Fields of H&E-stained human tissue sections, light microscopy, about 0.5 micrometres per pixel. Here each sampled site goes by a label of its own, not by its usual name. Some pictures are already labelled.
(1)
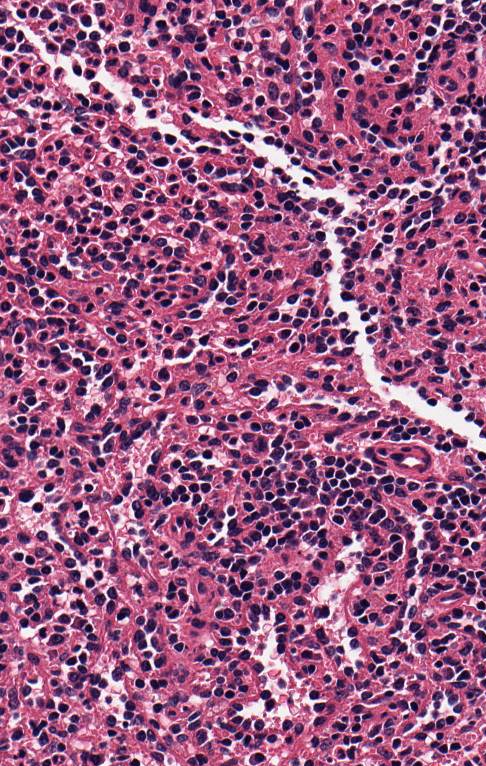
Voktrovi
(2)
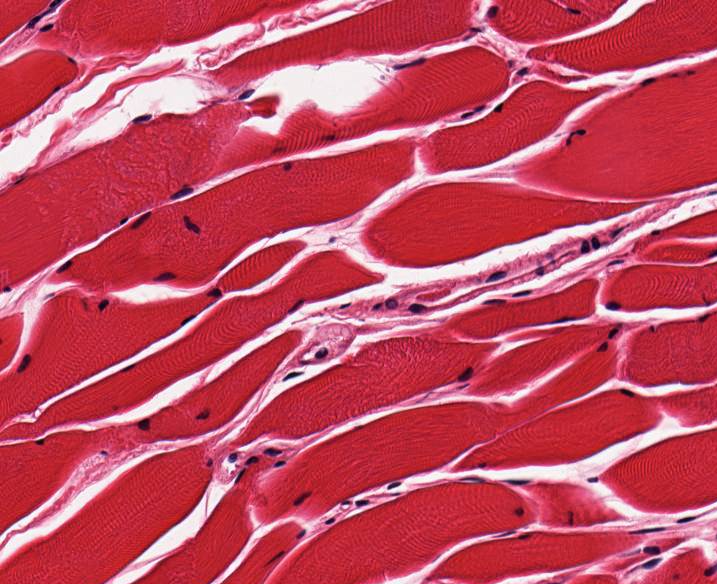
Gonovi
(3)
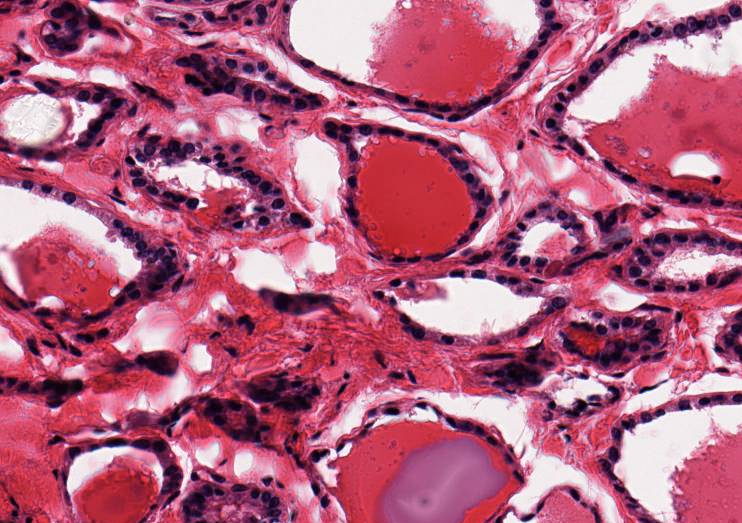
Gonovi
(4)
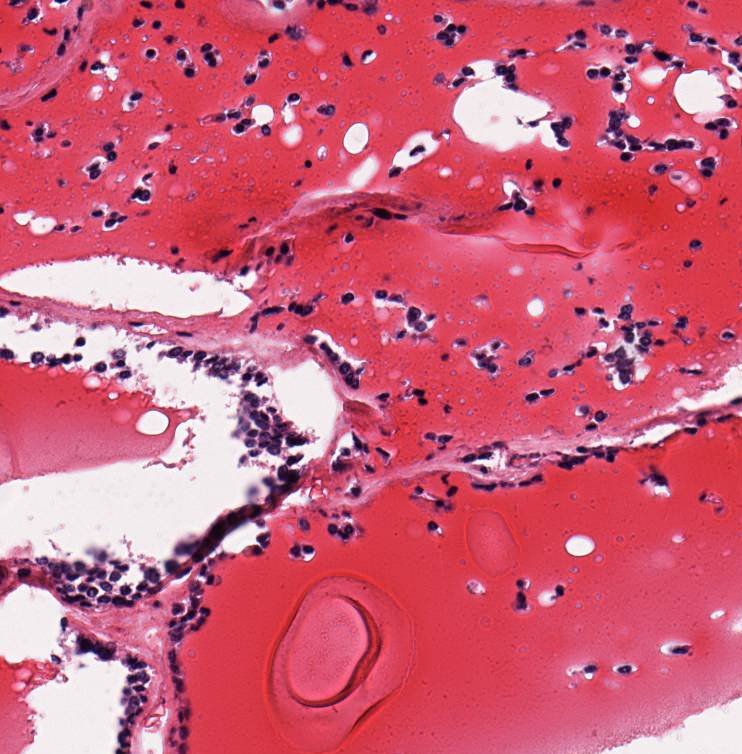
Gonovi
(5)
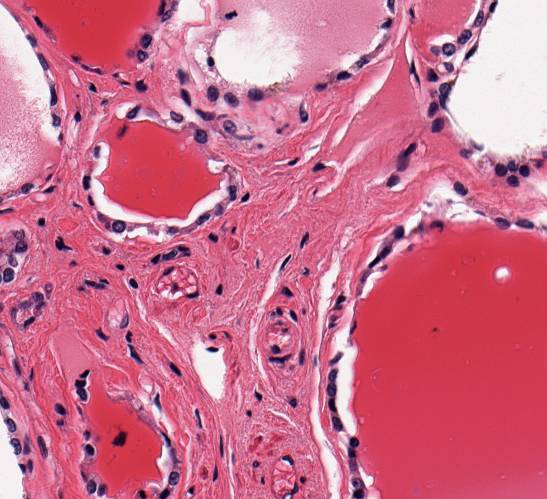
Gonovi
